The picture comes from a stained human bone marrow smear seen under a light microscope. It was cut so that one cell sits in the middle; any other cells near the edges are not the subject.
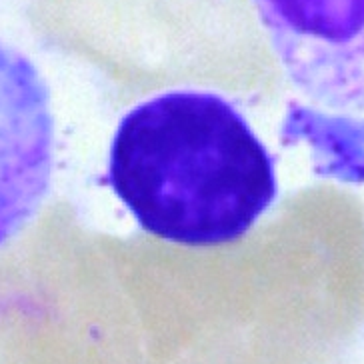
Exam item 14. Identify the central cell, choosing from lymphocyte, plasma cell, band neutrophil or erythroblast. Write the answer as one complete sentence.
The cell shown in the center of this light-microscope crop is a lymphocyte.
